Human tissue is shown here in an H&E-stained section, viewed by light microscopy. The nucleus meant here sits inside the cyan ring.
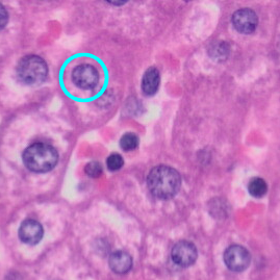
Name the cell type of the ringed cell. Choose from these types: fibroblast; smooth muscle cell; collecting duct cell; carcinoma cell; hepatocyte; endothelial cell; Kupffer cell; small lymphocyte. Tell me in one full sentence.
Placed in its cell category, the ringed cell is a hepatocyte.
